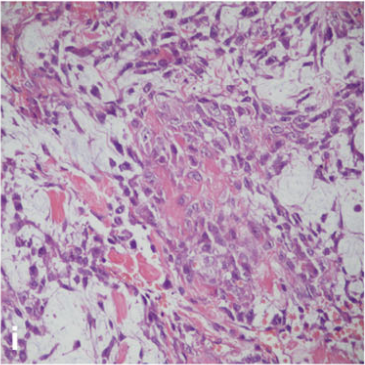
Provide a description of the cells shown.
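At high power, these tumour cells have dark purple nuclei that vary in size and shape, some enlarged and angular. They lie in a pale, bubbly-looking background. Winding strands and small islands of dense, glassy pink material run between the cells, and the cells sit right up against these strands, which suggests they are laying it down. Cell borders are hard to make out, and the cells look spindled to irregular. Some red blood cells are scattered nearby.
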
